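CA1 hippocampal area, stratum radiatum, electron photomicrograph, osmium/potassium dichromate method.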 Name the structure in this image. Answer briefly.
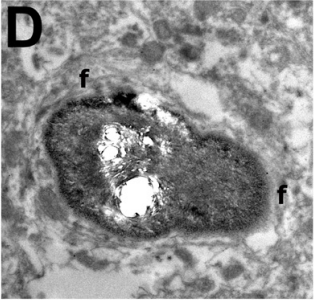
Calcifying bodies.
